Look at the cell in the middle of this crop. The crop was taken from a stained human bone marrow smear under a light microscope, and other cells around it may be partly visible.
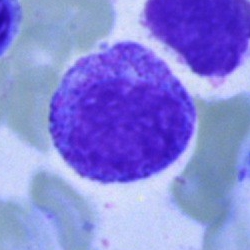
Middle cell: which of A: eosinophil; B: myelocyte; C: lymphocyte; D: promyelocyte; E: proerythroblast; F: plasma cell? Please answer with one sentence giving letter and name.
The best answer is option B, since the cell in the middle is a myelocyte.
